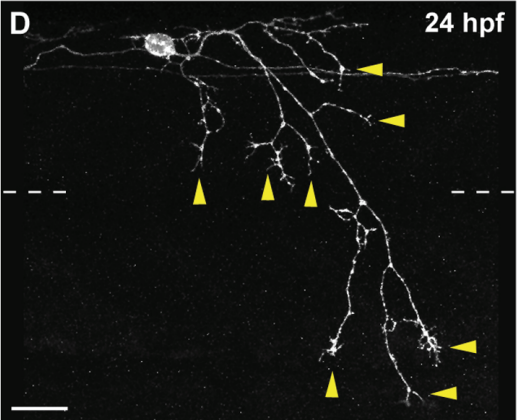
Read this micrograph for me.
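A mature neuron with a small cell body near the top, from which thin axons run horizontally in both directions. A further axon descends obliquely and divides into a richly branched arbor whose fine branches end in small tufts, reaching well below the dashed line.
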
